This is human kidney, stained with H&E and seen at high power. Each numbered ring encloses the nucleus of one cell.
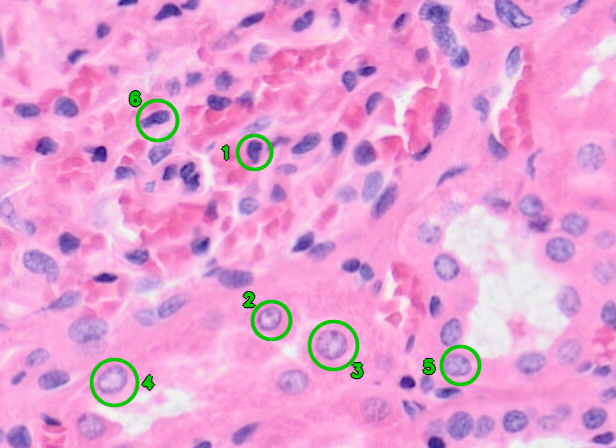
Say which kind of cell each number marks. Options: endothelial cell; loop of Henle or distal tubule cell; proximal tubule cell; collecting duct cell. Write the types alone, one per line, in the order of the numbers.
endothelial cell
proximal tubule cell
proximal tubule cell
proximal tubule cell
loop of Henle or distal tubule cell
endothelial cell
